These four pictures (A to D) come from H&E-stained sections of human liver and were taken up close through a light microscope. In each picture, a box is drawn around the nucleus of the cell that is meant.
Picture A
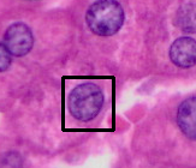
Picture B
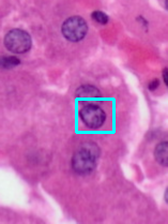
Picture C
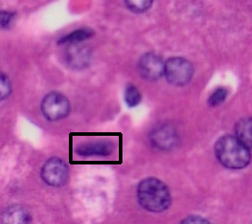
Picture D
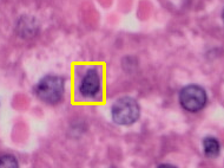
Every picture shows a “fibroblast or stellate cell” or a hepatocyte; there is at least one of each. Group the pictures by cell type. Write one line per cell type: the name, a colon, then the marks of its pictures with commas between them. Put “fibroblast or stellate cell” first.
fibroblast or stellate cell: C, D
hepatocyte: A, B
